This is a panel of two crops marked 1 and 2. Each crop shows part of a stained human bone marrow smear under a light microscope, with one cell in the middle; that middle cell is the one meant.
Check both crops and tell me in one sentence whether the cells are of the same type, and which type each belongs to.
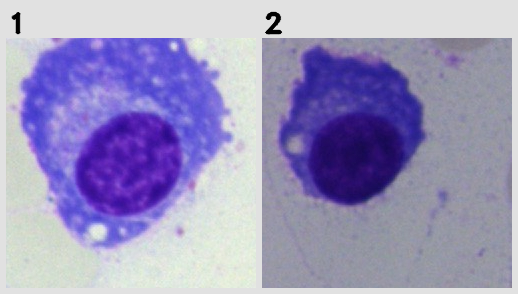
Yes, both crops are centred on cells that are plasma cells.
